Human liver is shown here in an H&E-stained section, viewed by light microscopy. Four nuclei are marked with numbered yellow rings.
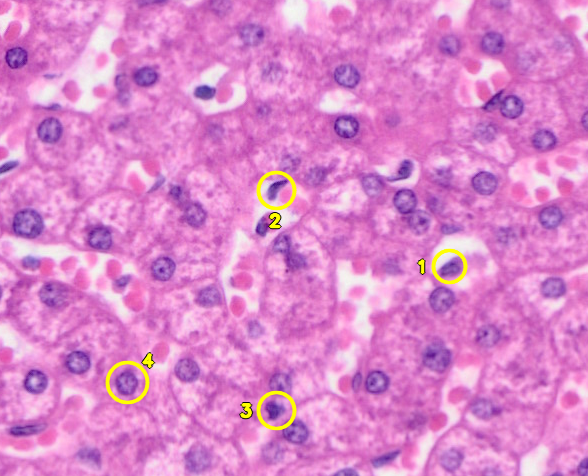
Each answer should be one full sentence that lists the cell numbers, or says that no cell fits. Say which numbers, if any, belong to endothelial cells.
Where the numbered cells are concerned, only number 2 is an endothelial cell.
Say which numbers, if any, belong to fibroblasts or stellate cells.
Among the numbered cells, the one that is a fibroblast or stellate cell is cell 3 alone.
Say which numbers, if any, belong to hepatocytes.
Exactly one numbered cell is a hepatocyte, and that cell is number 4.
